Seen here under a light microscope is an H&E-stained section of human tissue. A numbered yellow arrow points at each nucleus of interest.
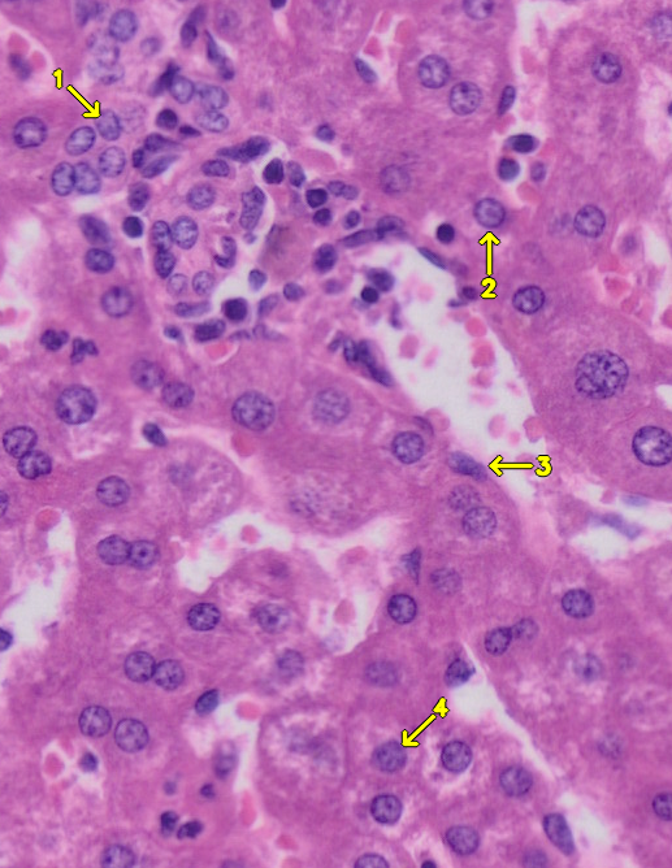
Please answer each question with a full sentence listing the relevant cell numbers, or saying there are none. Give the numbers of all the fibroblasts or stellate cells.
Only one choice fits: cell 3 is a fibroblast or stellate cell, and no other.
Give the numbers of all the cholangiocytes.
A single numbered cell, cell 1, is a cholangiocyte.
